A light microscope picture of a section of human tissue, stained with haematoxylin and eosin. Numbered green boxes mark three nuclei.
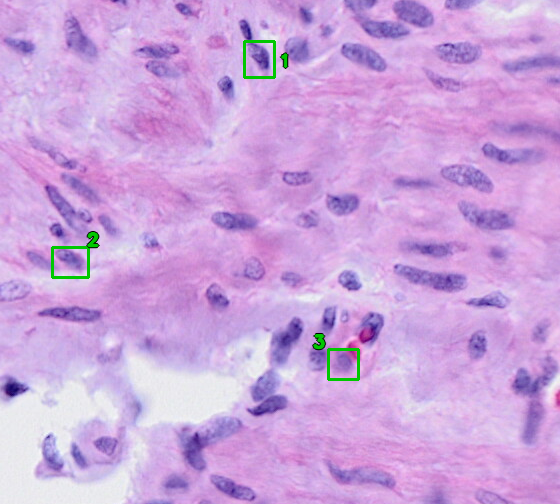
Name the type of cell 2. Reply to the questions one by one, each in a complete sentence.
Corresponding to a smooth muscle cell is the cell labelled 2.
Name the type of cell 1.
The numbered cell 1 in this field is a fibroblast.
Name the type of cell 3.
Denoted by the label 3 in the section is an endothelial cell.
